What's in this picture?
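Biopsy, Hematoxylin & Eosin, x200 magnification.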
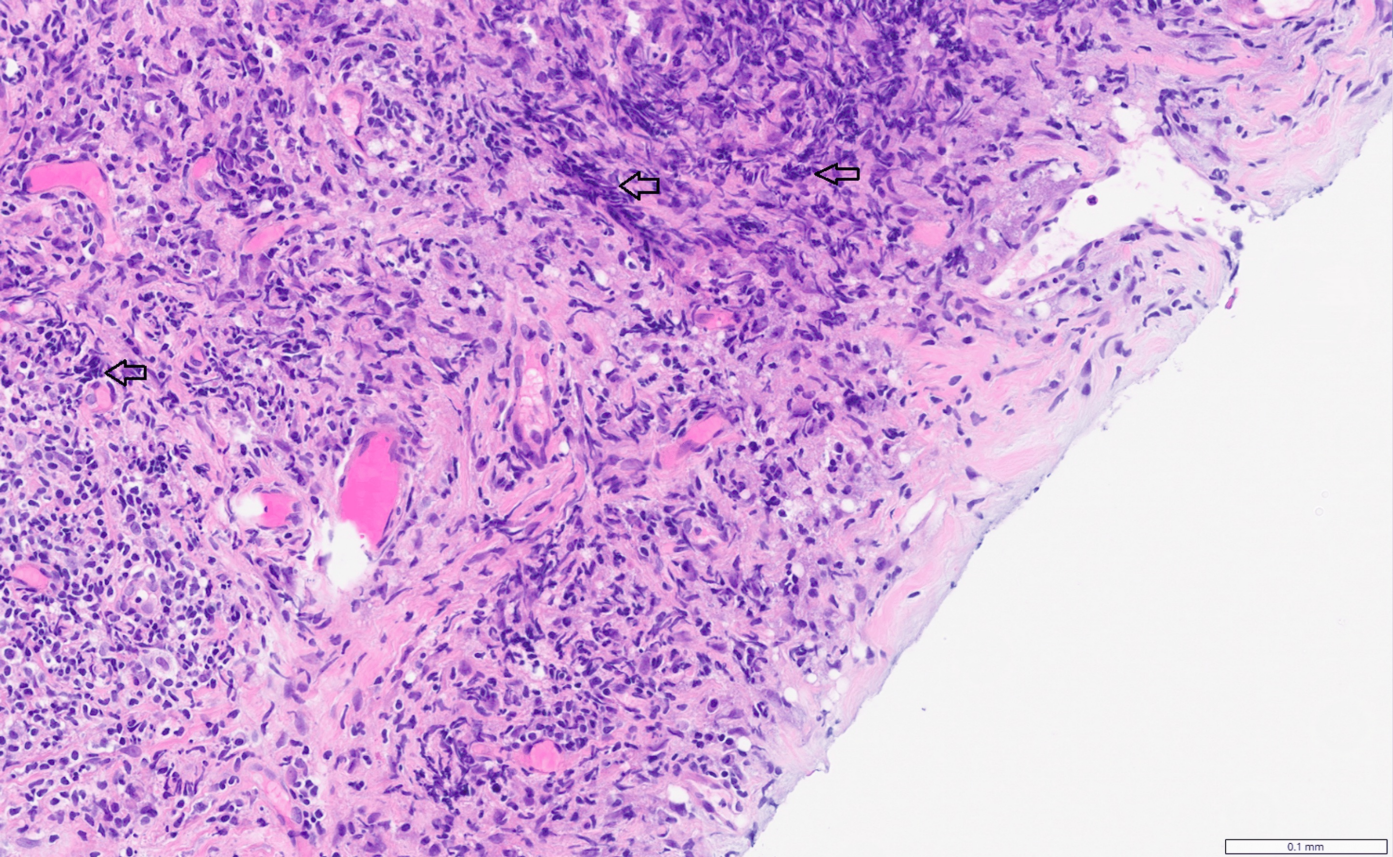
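Fibroinflammatory tissue in which pink, sclerotic collagenous stroma is densely infiltrated by lymphocytes and plasma cells. Small round dark-purple nuclei crowd between pink fibrous strands, with some elongated spindle-shaped nuclei among them. Scattered small vessels hold pink luminal contents. Toward the right edge the tissue becomes paler and more fibrous, with fewer cells.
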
